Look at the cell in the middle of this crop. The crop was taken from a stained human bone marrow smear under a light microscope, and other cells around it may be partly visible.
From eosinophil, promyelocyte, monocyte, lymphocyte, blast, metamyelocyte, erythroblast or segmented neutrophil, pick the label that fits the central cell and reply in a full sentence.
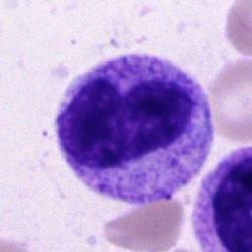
Here the cell in the middle is a metamyelocyte.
